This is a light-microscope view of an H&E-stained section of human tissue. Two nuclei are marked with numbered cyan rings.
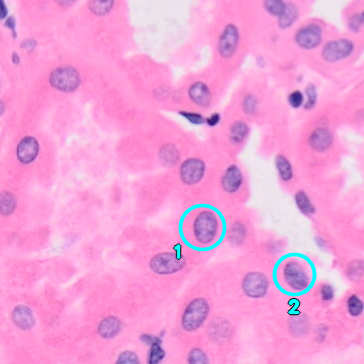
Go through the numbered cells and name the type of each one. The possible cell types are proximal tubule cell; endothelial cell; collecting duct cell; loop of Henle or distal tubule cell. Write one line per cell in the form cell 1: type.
cell 1: proximal tubule cell
cell 2: loop of Henle or distal tubule cell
